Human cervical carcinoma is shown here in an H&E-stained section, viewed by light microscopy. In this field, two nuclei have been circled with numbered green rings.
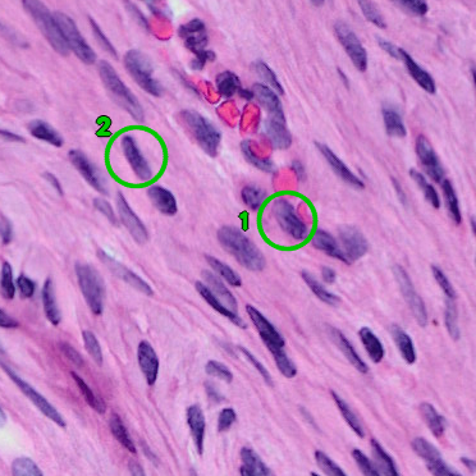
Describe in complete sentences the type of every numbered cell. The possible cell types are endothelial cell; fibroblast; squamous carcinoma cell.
Cell 1 is an endothelial cell. Cell 2 is a fibroblast.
